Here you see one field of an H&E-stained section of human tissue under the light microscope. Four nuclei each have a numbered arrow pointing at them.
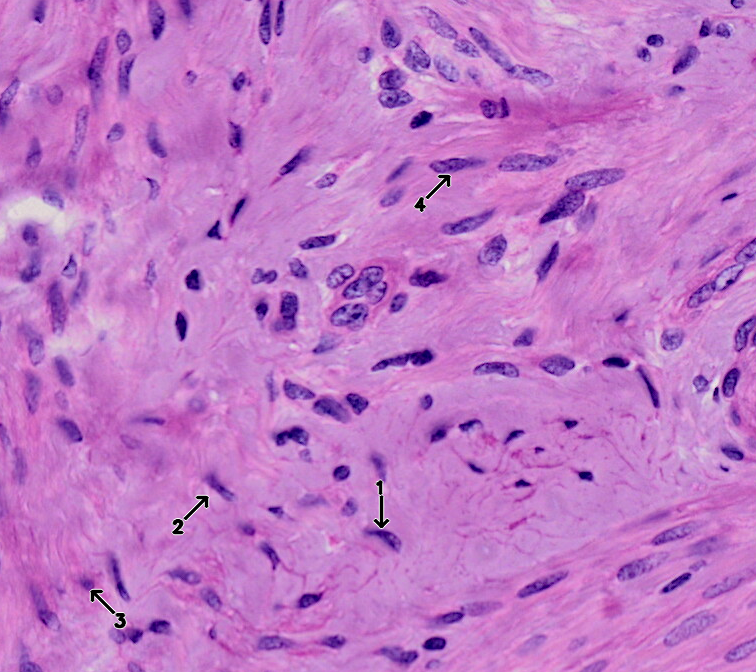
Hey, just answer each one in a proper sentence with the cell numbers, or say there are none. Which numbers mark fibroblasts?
Cells numbered 1, 2 and 4 belong to the group of fibroblasts.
